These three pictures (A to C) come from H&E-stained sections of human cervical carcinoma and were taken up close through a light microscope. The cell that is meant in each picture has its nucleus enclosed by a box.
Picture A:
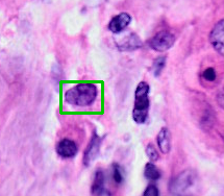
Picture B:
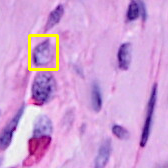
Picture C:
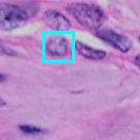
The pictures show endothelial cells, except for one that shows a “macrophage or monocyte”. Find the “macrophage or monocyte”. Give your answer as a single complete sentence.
The “macrophage or monocyte” is the one in picture A.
